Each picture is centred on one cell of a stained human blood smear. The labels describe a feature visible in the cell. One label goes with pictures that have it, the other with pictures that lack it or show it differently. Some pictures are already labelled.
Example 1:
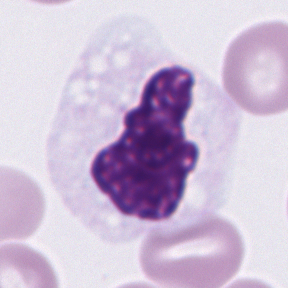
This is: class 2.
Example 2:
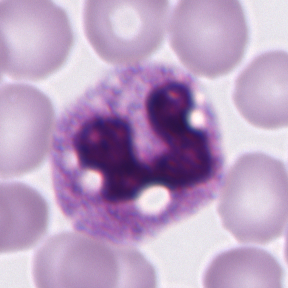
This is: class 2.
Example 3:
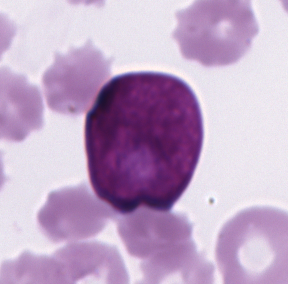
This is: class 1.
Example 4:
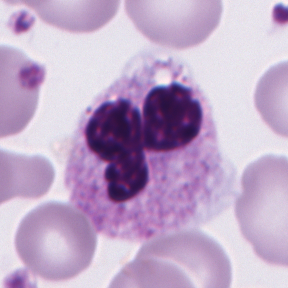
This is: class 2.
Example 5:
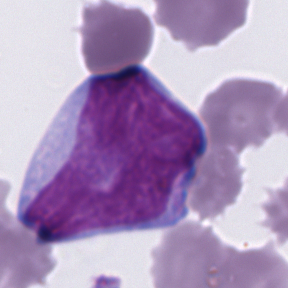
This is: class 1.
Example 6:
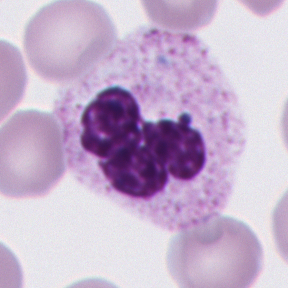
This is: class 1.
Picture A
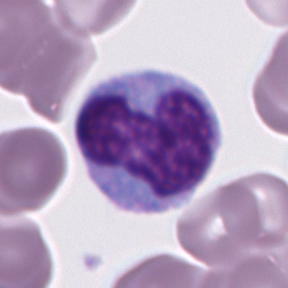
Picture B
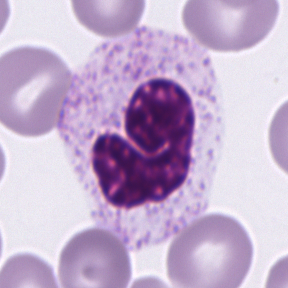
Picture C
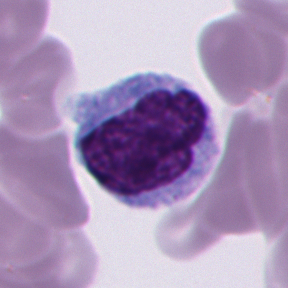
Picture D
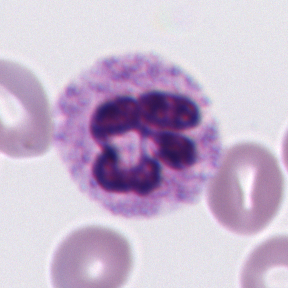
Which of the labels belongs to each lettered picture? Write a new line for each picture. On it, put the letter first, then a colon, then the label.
A: class 1.
B: class 1.
C: class 1.
D: class 1.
